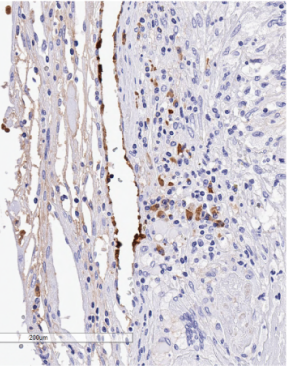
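On the left, loose strands of thin fibrous tissue run vertically with a few elongated blue nuclei and faint brown lining along their edges. To the right, a more cellular area holds many small round blue nuclei, with brown-stained cells gathered in its middle portion. The lower right shows paler, more fibrous tissue with fewer cells.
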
